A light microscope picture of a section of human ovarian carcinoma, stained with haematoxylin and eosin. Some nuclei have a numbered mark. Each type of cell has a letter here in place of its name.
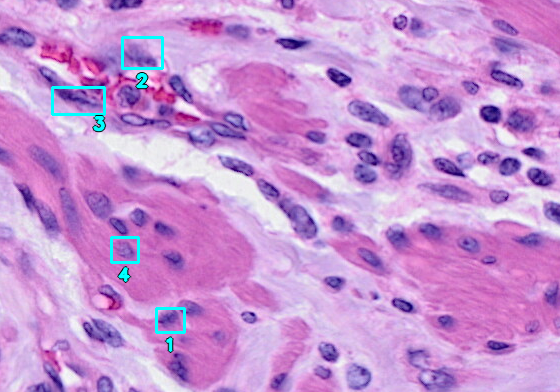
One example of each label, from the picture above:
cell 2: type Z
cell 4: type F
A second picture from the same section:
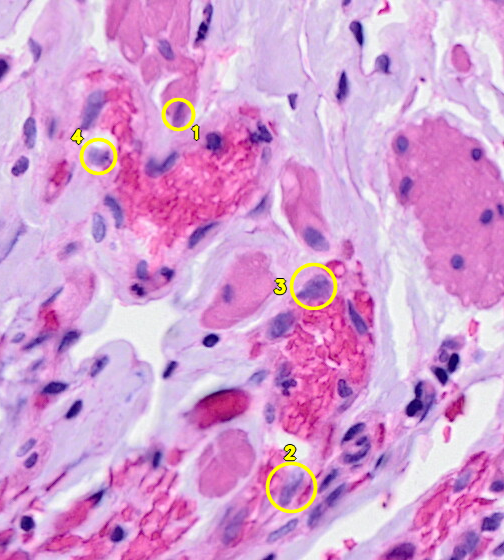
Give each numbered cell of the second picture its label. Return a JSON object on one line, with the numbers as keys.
{"1": "type F", "2": "type Z", "3": "type Z", "4": "type Z"}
